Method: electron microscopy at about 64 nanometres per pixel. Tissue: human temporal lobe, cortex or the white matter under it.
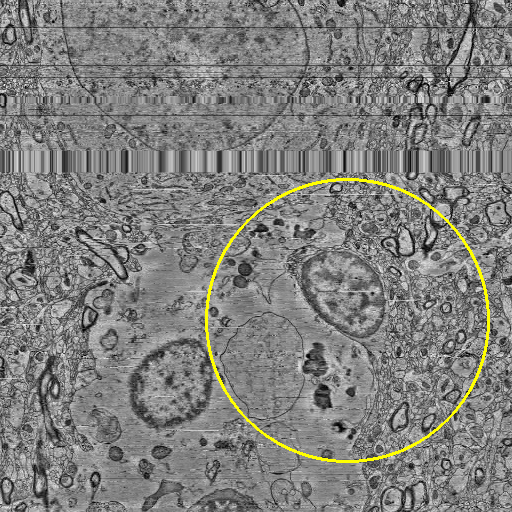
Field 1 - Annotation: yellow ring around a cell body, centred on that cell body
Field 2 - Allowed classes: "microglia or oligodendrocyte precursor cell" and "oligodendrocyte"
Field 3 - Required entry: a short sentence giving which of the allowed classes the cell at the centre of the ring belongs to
The centred cell is an oligodendrocyte.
